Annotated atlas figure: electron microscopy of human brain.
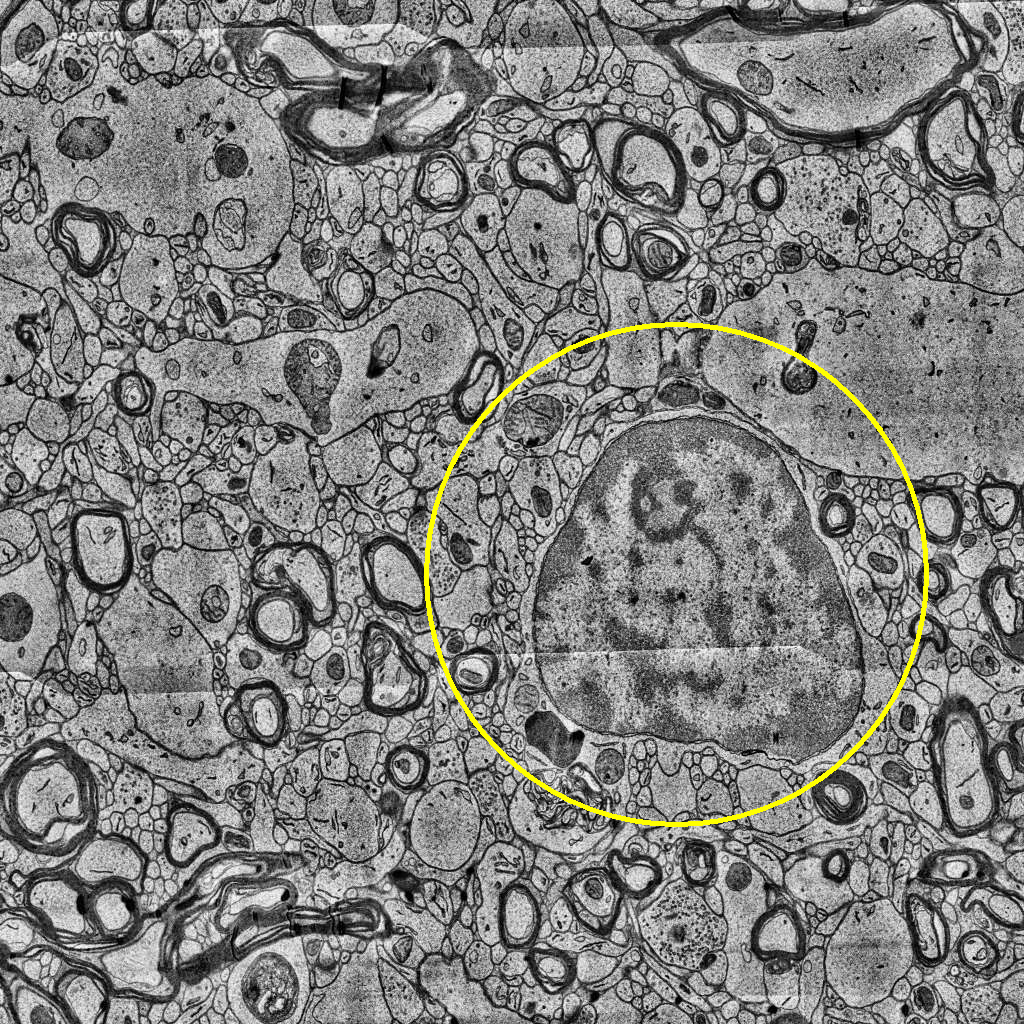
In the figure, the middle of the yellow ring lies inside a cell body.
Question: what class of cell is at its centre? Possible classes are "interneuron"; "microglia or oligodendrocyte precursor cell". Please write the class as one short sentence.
The yellow ring's centre lies in a microglial cell or oligodendrocyte precursor cell.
